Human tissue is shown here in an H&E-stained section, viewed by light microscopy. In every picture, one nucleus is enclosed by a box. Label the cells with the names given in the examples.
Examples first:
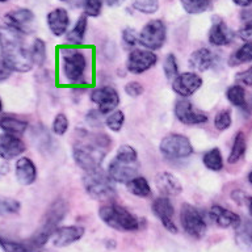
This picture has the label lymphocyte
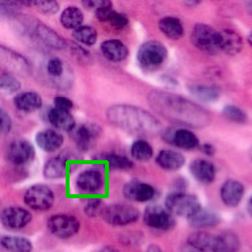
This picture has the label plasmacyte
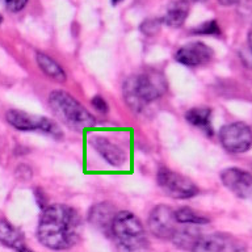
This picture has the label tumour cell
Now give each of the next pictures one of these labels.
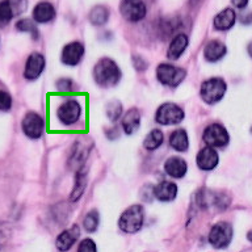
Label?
lymphocyte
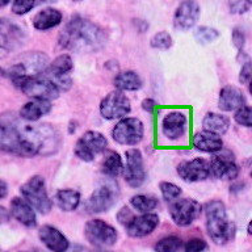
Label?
lymphocyte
